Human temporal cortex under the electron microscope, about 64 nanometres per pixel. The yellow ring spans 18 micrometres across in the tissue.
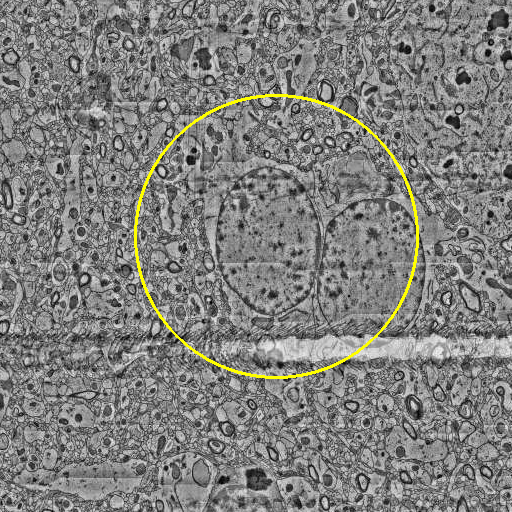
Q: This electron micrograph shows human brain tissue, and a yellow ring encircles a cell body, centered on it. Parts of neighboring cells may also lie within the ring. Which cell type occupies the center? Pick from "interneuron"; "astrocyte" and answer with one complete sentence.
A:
What sits at the ring's center in this micrograph is an astrocyte, among those choices.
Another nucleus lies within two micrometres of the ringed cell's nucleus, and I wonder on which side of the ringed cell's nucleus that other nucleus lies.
That second nucleus is to the right of it.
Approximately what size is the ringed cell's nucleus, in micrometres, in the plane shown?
The nucleus of the ringed cell is approximately 9 by 7 micrometres in this plane.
